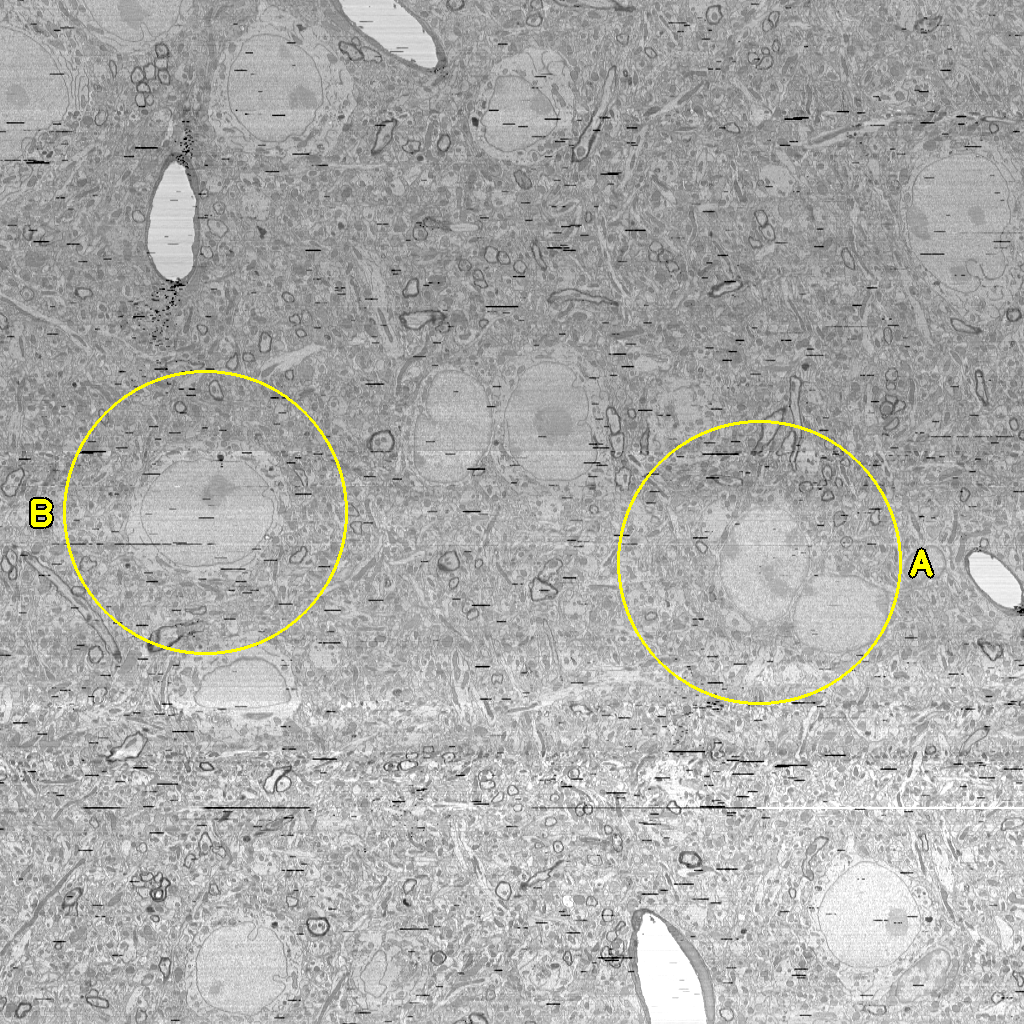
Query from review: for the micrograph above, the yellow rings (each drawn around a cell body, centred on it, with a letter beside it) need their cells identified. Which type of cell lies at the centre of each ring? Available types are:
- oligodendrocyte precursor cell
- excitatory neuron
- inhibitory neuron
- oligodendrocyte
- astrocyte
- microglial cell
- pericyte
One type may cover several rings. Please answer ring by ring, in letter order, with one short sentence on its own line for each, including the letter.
Ring A is drawn around an astrocyte.
Ring B is drawn around an excitatory neuron.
